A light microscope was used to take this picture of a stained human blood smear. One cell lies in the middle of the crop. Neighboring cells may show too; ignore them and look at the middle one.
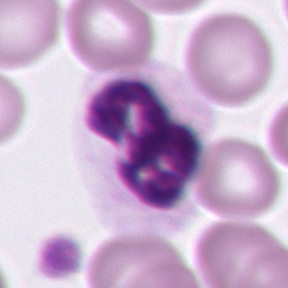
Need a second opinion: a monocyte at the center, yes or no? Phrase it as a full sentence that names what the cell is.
No, the cell at the centre of the crop is a segmented neutrophil and not a monocyte.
